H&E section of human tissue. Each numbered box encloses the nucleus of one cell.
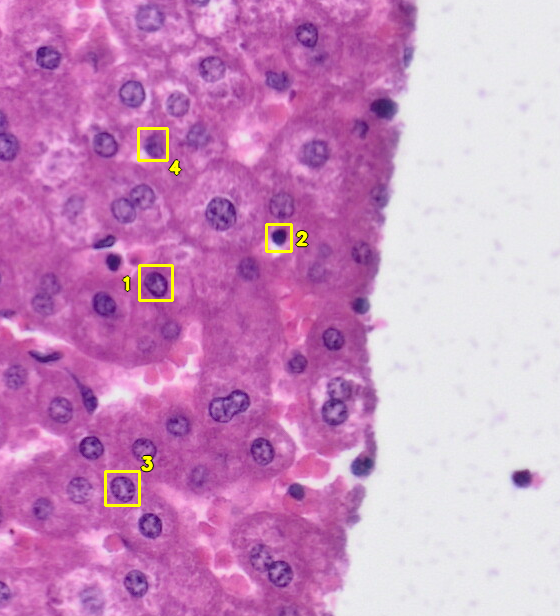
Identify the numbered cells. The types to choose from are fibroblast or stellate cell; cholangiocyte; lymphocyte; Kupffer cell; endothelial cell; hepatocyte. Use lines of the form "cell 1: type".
cell 1: hepatocyte
cell 2: lymphocyte
cell 3: hepatocyte
cell 4: endothelial cell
